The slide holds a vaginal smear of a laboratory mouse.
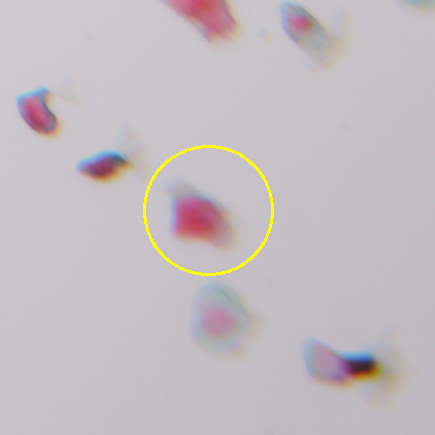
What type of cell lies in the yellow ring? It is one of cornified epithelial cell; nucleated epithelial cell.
The ringed cell is a cornified epithelial cell.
